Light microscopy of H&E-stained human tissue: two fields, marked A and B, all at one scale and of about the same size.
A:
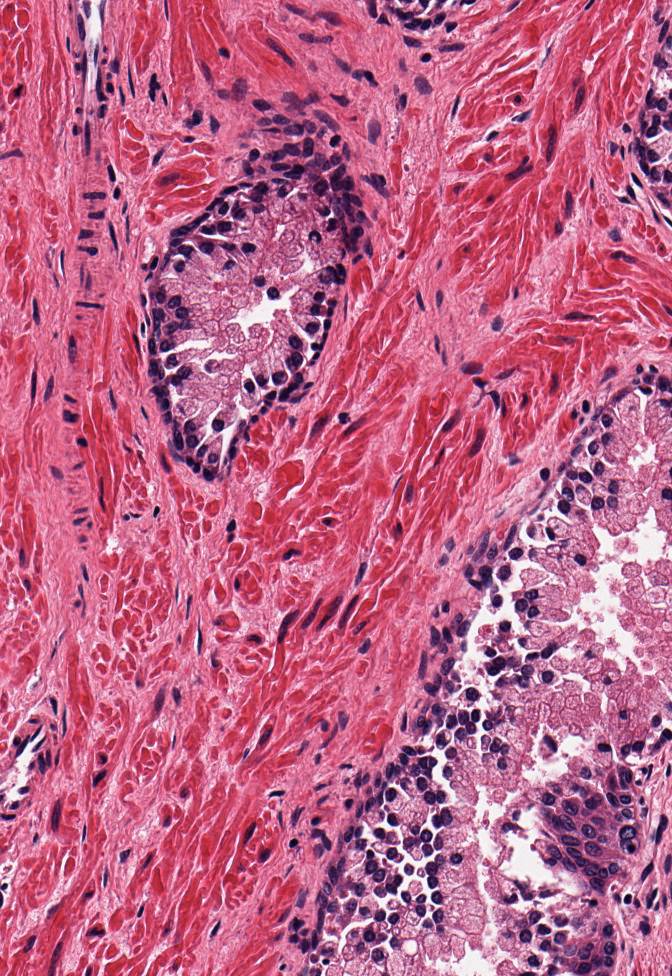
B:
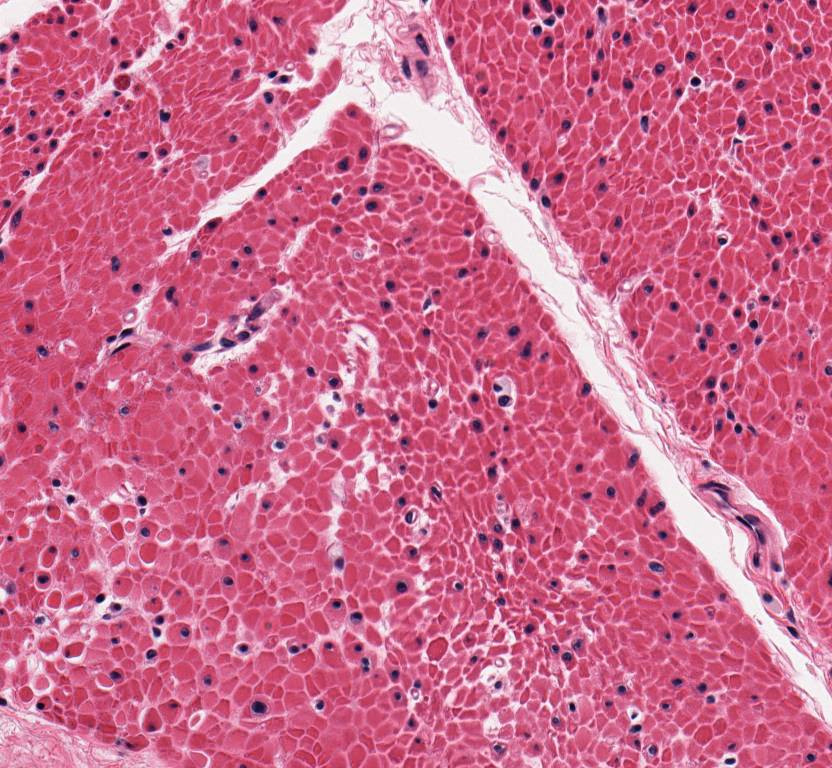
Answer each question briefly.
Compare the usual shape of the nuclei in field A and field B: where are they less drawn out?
B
